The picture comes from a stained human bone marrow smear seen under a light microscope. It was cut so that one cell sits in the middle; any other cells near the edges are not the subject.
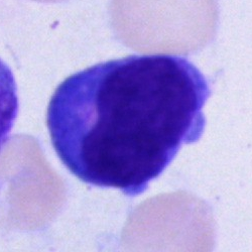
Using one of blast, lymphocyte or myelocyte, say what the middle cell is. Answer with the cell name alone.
blast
